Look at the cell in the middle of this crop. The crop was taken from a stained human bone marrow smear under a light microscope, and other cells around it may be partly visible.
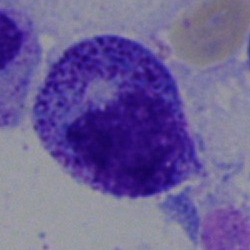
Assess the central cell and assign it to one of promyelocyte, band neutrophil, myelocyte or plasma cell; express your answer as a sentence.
The central cell shown in this smear crop is a promyelocyte.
